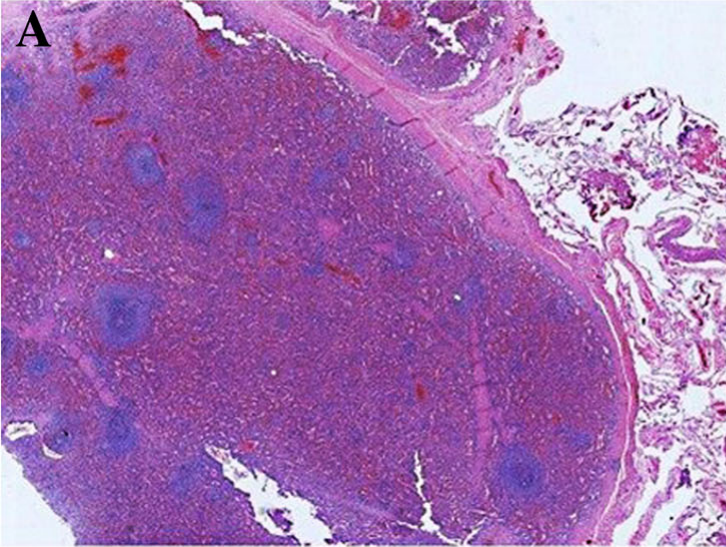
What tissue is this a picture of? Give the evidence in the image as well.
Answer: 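Scattered round pale-blue lymphoid nodules lie within a dense purple-red parenchyma. The parenchyma is richly vascular with many small red blood-filled spaces. A thin pink fibrous capsule borders the tissue.
Spleen.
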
